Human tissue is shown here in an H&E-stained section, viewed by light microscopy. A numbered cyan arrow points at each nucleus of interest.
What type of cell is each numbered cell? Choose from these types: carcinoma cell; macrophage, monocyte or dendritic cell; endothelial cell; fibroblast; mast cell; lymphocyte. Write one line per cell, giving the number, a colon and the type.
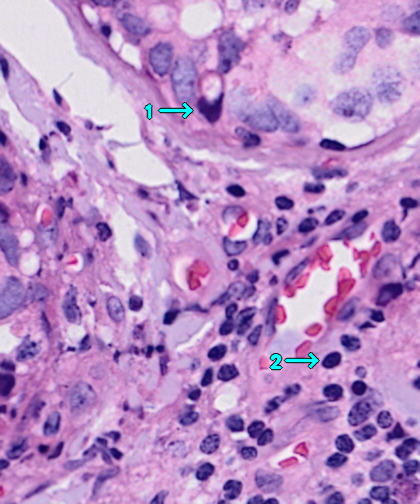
1: carcinoma cell
2: lymphocyte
